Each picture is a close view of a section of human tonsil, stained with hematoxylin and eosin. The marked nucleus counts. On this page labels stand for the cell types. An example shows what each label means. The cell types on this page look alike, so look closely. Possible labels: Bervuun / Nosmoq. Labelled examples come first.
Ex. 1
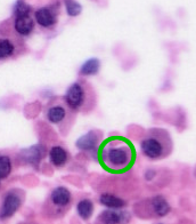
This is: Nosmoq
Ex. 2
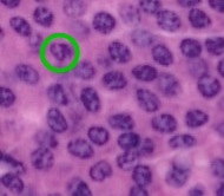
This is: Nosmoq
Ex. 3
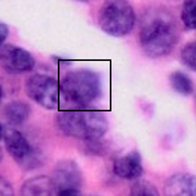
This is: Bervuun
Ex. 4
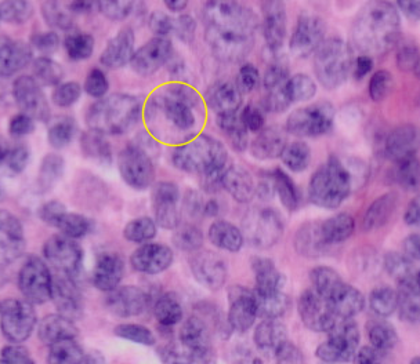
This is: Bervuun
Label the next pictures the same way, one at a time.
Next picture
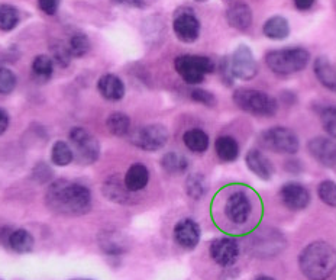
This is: Nosmoq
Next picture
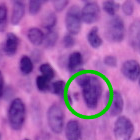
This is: Bervuun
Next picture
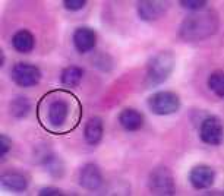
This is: Nosmoq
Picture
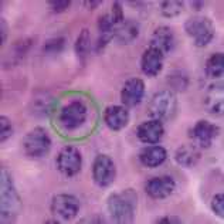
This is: Nosmoq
